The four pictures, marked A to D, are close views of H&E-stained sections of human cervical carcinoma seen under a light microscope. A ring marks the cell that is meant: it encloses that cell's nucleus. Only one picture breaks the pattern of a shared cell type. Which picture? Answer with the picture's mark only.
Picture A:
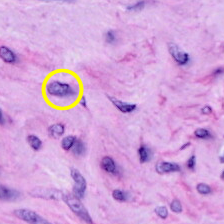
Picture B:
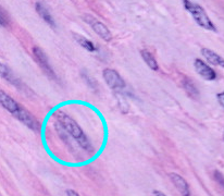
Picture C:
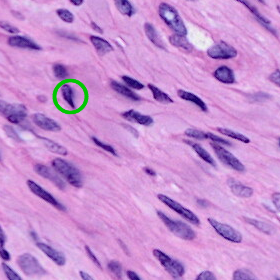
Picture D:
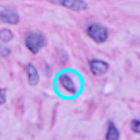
C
